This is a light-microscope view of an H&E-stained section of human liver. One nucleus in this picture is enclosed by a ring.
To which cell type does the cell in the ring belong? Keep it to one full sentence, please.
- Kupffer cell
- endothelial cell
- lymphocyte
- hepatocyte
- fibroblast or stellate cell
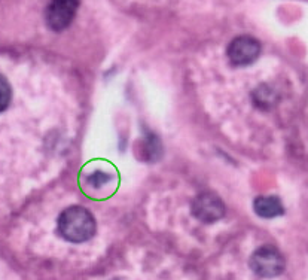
On this particular slide, the cell in the ring is a lymphocyte.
